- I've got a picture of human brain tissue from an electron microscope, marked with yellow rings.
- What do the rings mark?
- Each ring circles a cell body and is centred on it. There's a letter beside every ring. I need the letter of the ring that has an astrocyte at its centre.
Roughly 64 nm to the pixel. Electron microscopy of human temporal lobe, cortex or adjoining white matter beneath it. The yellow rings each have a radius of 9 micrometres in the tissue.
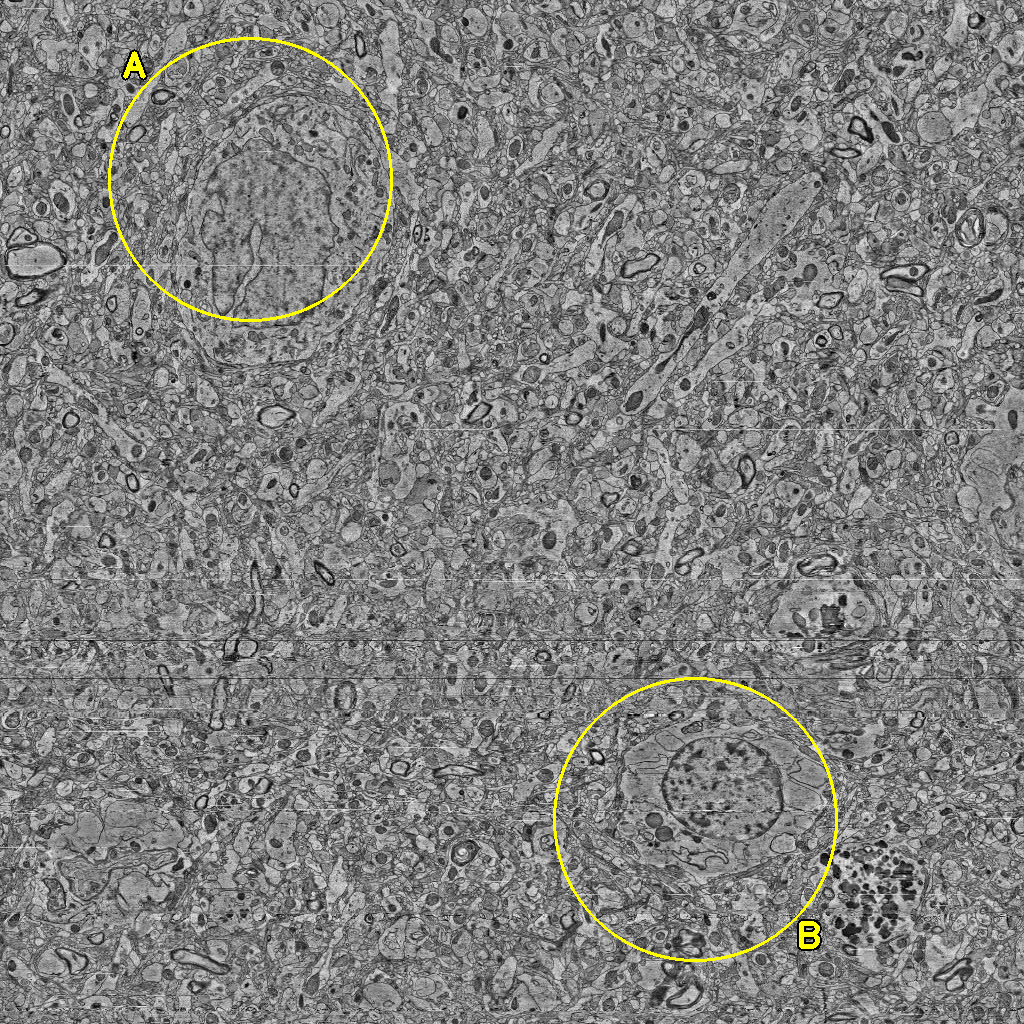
B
